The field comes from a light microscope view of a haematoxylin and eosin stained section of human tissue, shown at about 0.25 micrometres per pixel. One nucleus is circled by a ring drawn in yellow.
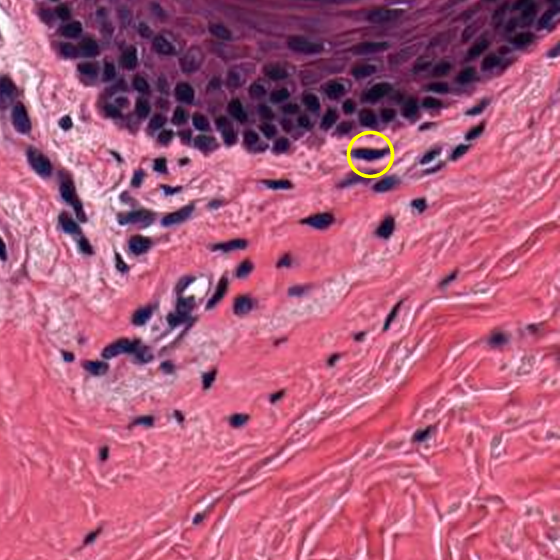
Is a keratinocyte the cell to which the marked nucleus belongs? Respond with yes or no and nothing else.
no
